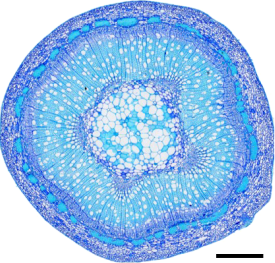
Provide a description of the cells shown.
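This is a transverse section of a young woody stem with a roughly round outline. The centre holds a pith of large, pale, polygonal parenchyma cells, enclosed by a wide light blue xylem ring with numerous small white vessel lumens arranged in radial rows and crossed by thin rays. Beyond the xylem lies a dark purple band with a ring of bright blue fibre bundles, and the outer cortex and bark form the edge of the section.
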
